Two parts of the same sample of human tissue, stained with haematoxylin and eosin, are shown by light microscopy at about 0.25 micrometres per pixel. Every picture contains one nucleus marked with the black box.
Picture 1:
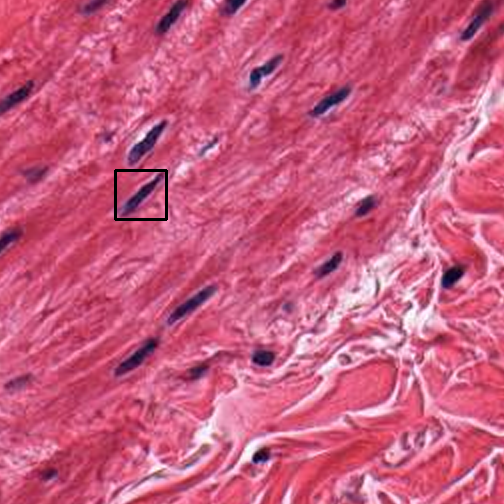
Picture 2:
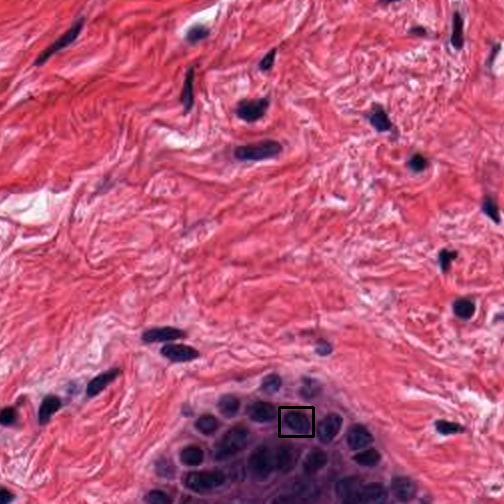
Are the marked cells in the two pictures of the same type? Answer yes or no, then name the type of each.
No, the first is a smooth muscle cell and the second a keratinocyte.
